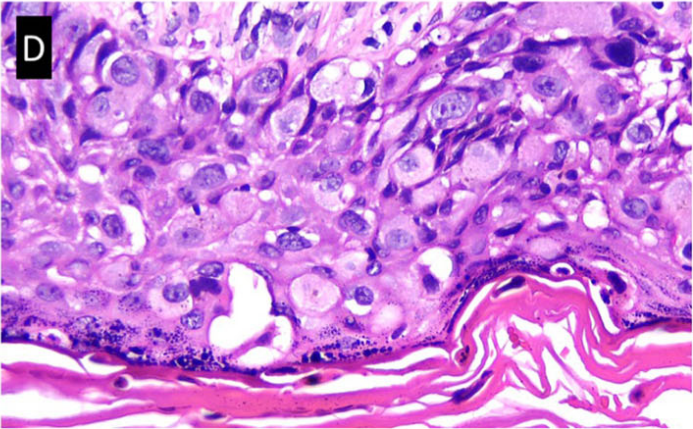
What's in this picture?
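Epidermis infiltrated by large atypical tumor cells, lying just above a layer of pink keratin. The tumor cells have large vesicular nuclei with prominent nucleoli and pale to vacuolated cytoplasm. They vary in size, and some nuclei are dark and irregular. The cells are crowded and replace much of the normal layered keratinocyte pattern.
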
